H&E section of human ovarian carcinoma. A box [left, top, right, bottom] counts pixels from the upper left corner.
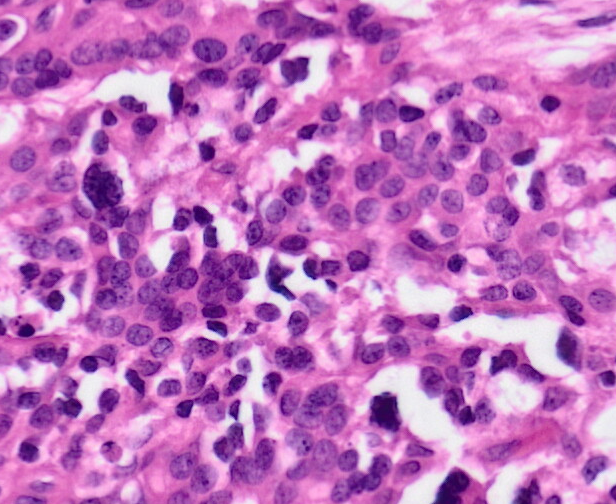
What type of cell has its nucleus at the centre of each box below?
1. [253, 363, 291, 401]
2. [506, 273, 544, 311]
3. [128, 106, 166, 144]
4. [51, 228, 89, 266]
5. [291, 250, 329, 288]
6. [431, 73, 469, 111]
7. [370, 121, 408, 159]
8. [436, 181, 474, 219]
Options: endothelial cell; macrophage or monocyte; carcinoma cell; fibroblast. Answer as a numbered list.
1. carcinoma cell
2. macrophage or monocyte
3. carcinoma cell
4. macrophage or monocyte
5. carcinoma cell
6. macrophage or monocyte
7. carcinoma cell
8. macrophage or monocyte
